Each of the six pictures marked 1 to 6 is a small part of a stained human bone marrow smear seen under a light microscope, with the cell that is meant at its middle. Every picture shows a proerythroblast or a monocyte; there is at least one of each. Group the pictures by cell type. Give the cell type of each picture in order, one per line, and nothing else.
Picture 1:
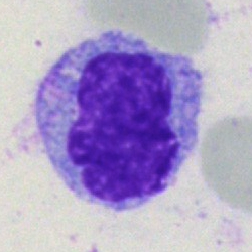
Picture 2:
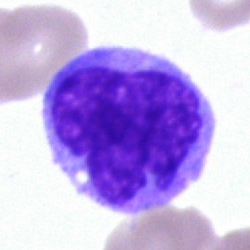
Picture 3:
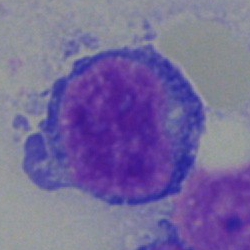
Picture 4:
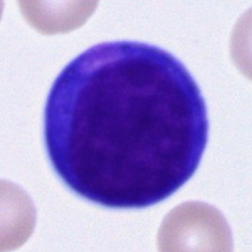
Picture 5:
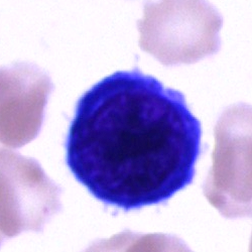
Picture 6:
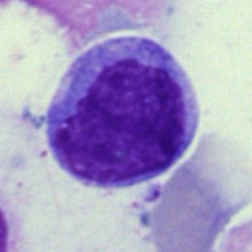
monocyte
monocyte
proerythroblast
proerythroblast
proerythroblast
monocyte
